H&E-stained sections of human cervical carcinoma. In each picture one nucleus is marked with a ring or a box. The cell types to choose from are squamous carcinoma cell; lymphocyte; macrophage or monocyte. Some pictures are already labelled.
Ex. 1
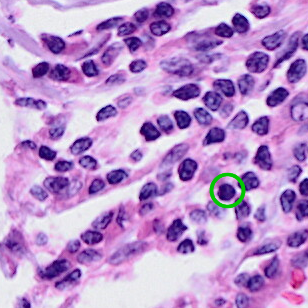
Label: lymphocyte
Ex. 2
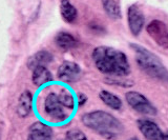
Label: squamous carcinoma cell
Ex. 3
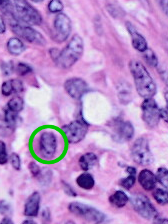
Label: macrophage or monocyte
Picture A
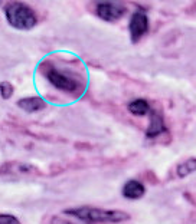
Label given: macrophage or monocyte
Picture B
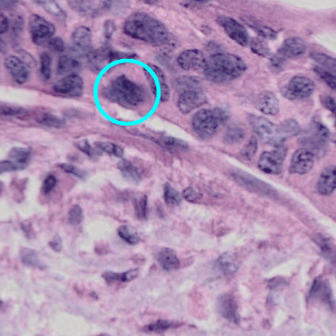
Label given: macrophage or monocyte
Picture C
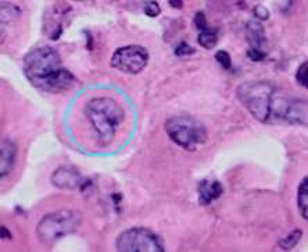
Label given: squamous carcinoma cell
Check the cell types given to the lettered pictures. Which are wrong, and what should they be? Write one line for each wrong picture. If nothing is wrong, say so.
B: squamous carcinoma cell, not macrophage or monocyte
